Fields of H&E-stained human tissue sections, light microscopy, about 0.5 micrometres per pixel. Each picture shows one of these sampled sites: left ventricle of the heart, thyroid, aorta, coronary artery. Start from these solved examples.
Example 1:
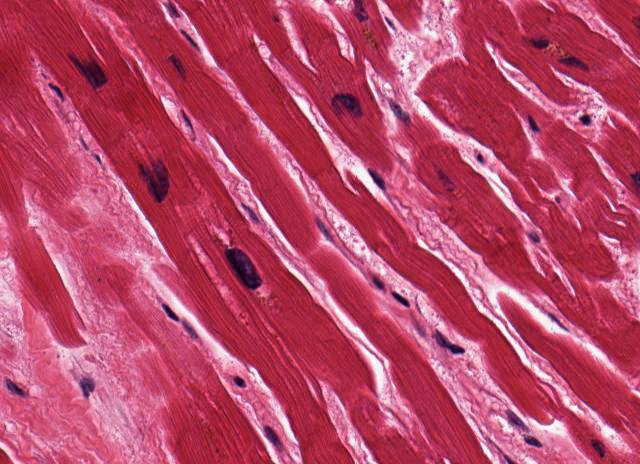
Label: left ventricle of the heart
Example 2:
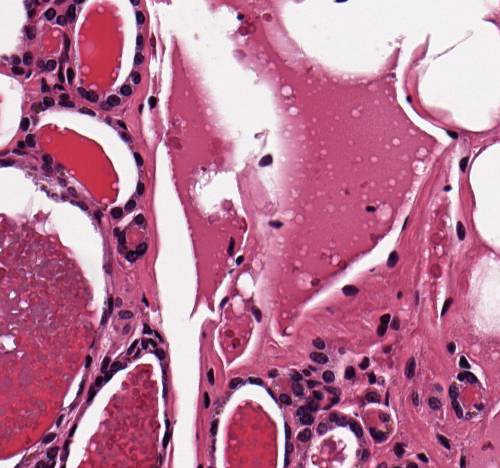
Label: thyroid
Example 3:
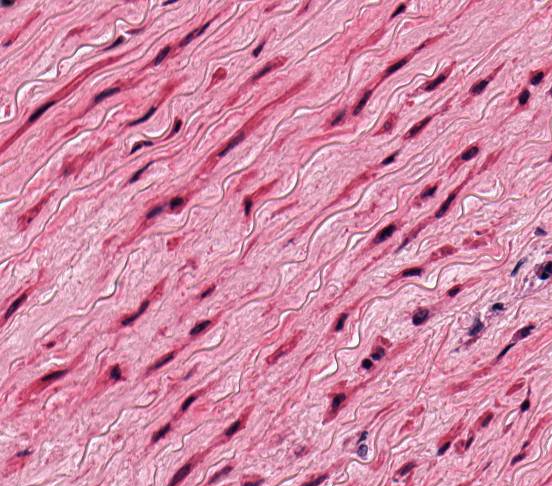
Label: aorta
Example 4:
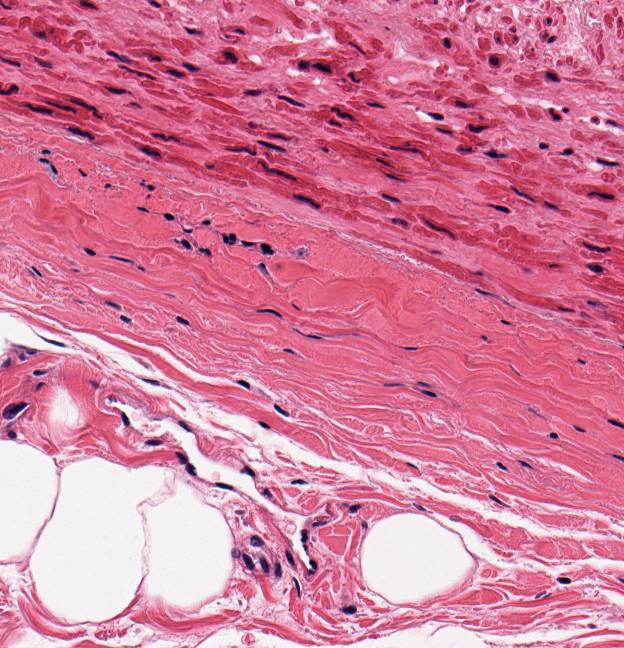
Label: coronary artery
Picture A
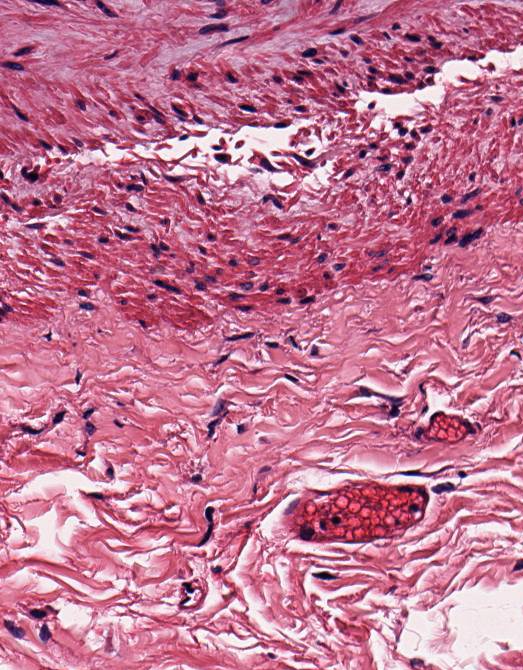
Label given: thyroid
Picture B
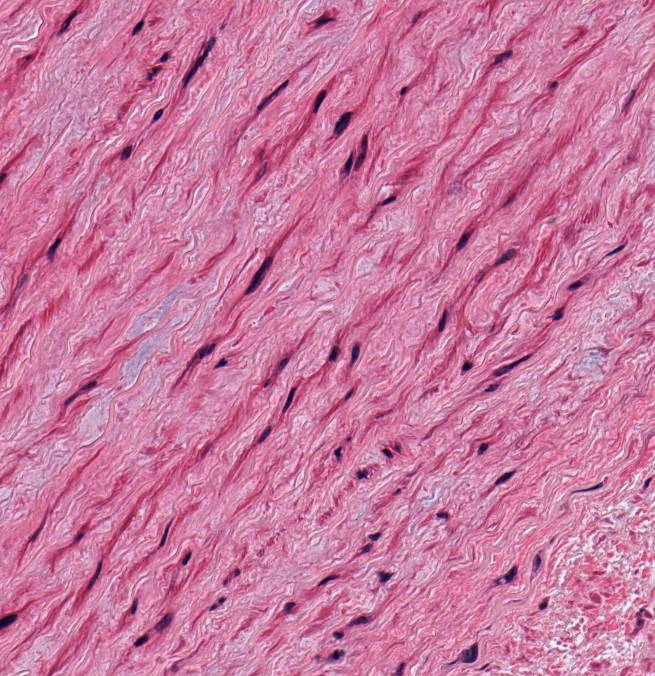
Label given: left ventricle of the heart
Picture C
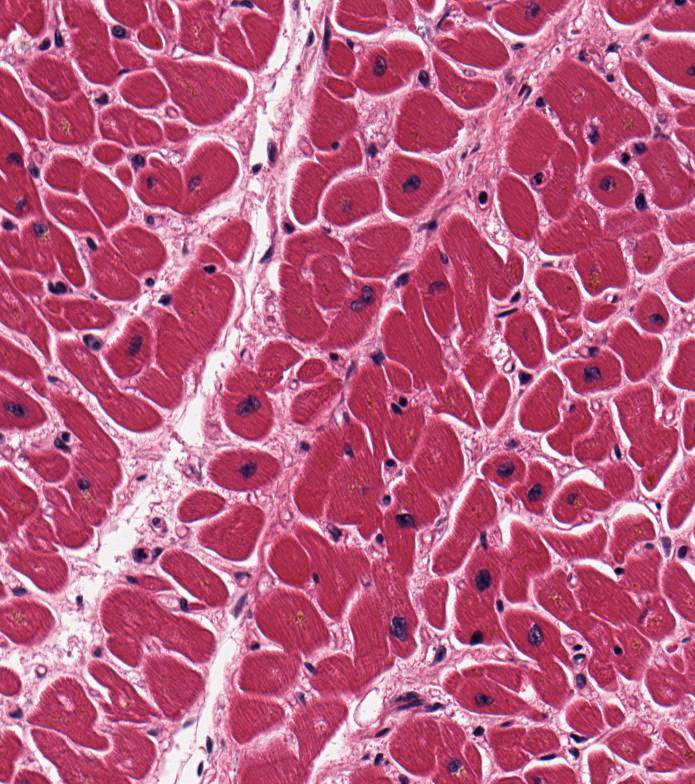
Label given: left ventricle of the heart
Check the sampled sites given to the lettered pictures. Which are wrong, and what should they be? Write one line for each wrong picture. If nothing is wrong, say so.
A should be coronary artery, not thyroid
B should be aorta, not left ventricle of the heart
